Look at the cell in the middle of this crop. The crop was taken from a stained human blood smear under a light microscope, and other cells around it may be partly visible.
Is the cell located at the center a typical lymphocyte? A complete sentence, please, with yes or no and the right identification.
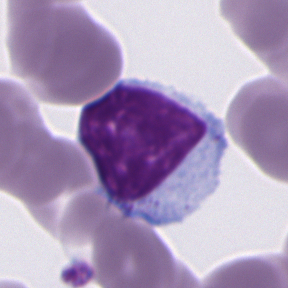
Yes, a typical lymphocyte is present in the middle of the crop.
